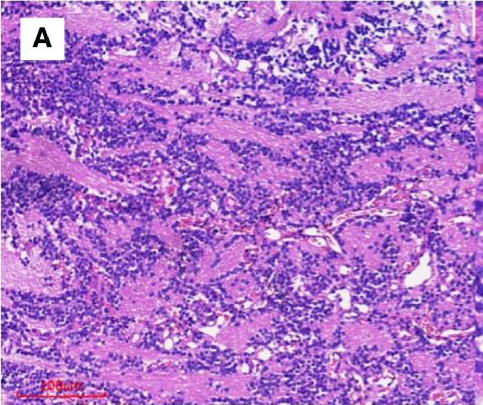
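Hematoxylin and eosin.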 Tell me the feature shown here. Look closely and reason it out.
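Neuropil islands. Rows and clusters of small dark nuclei run between these pink areas.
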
